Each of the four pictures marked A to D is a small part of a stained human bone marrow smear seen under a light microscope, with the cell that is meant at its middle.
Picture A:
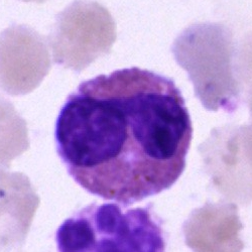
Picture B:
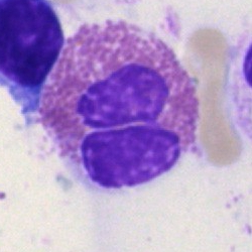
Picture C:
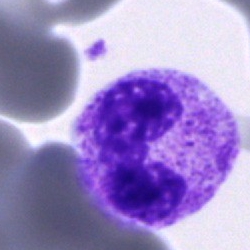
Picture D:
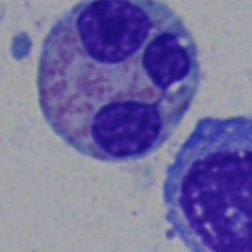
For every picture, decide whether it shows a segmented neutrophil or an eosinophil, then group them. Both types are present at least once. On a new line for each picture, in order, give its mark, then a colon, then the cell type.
A: eosinophil
B: eosinophil
C: segmented neutrophil
D: eosinophil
